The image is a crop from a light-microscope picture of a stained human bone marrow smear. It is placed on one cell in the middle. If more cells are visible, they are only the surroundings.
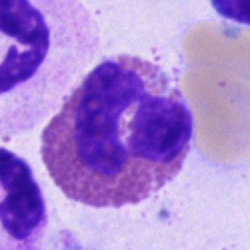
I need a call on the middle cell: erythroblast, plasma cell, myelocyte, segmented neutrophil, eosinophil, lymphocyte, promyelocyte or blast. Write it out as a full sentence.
This crop has an eosinophil at its centre.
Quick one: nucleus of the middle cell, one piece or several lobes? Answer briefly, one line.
Its nucleus is lobed, with at least two separate segments.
